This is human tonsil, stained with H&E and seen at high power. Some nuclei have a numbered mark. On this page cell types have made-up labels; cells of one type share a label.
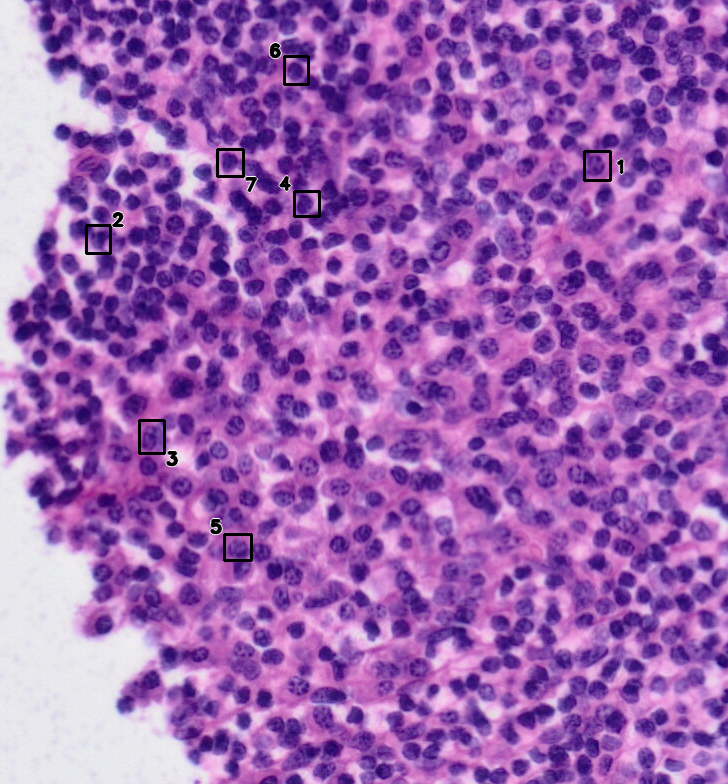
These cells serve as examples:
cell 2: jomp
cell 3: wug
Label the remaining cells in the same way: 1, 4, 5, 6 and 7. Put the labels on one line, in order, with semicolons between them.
wug; jomp; wug; jomp; jomp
